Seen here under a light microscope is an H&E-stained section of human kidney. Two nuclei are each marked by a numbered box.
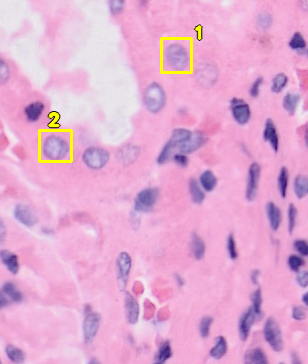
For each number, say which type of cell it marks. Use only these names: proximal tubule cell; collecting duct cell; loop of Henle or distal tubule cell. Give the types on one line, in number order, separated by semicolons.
proximal tubule cell; loop of Henle or distal tubule cell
